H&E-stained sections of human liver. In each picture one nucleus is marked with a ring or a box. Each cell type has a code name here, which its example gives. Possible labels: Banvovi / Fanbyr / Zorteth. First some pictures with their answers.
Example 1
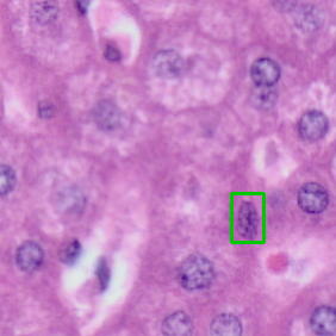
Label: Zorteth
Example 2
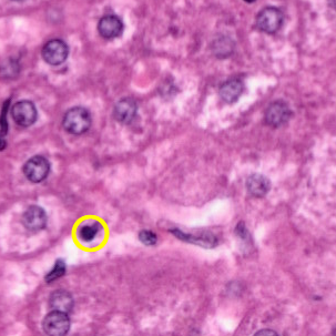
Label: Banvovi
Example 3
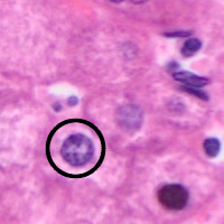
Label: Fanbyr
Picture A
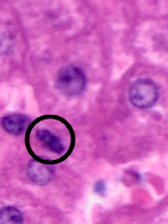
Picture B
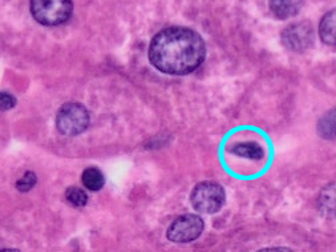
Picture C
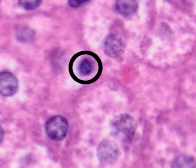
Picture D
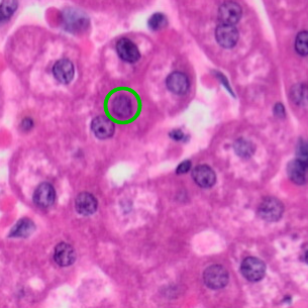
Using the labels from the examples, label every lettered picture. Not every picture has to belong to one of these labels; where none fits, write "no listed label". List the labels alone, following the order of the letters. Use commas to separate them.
Zorteth, Banvovi, Banvovi, Fanbyr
